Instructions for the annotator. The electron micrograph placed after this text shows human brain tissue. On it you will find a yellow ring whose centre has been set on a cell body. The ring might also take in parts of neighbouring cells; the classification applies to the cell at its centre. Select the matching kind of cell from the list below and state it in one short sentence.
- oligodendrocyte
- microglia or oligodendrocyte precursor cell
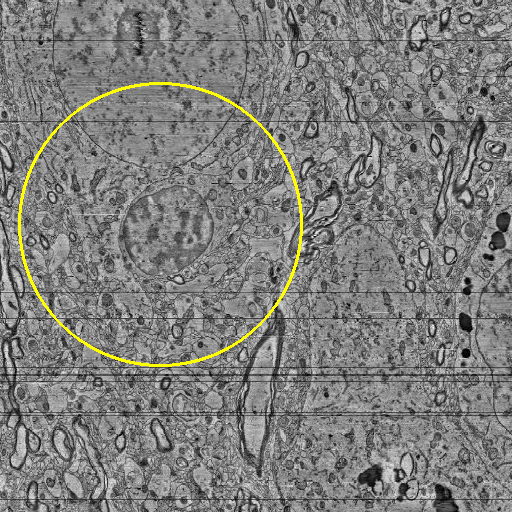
The ring is drawn on the cell body of an oligodendrocyte.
